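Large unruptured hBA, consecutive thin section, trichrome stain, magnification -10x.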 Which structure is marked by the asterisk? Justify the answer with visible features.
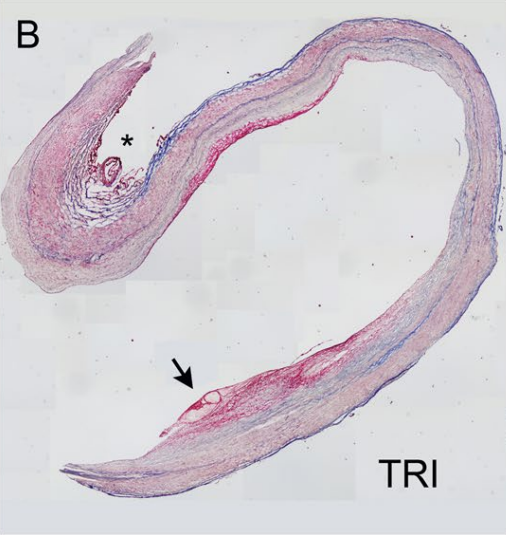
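A small round ring-shaped profile with its own lumen lies next to the asterisk. It sits within the folded outer part of the wall.
Adventitial vessel.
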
